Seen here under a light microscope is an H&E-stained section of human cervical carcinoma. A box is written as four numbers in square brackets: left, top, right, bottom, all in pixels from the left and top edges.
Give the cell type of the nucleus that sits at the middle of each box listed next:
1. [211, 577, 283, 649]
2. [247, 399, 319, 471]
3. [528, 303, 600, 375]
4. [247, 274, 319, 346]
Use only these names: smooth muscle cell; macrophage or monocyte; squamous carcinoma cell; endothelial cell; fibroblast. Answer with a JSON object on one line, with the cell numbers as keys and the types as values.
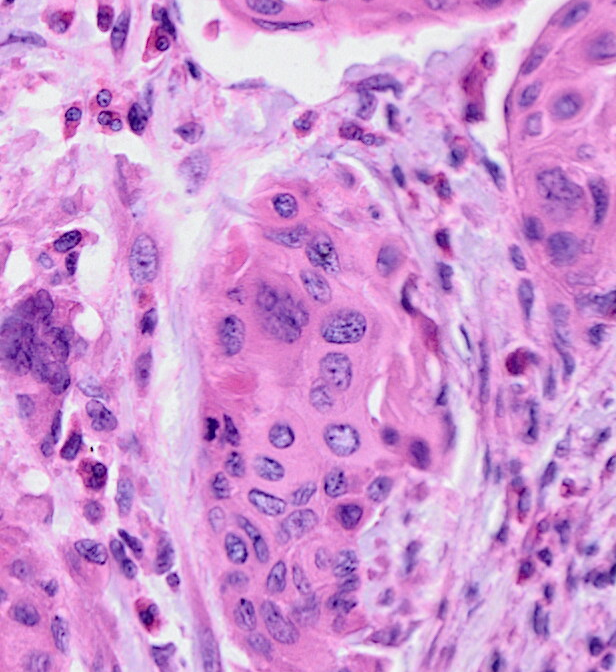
{"1": "squamous carcinoma cell", "2": "squamous carcinoma cell", "3": "endothelial cell", "4": "squamous carcinoma cell"}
